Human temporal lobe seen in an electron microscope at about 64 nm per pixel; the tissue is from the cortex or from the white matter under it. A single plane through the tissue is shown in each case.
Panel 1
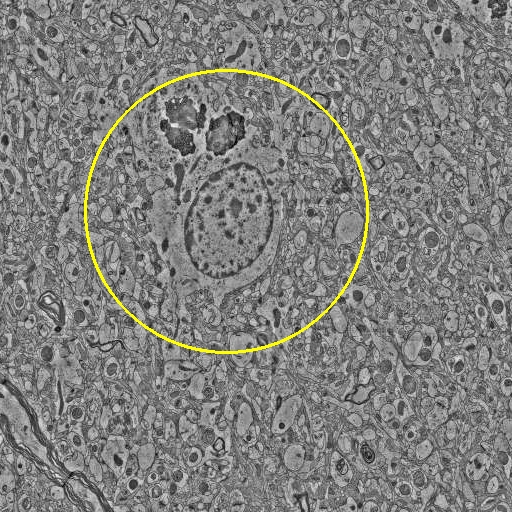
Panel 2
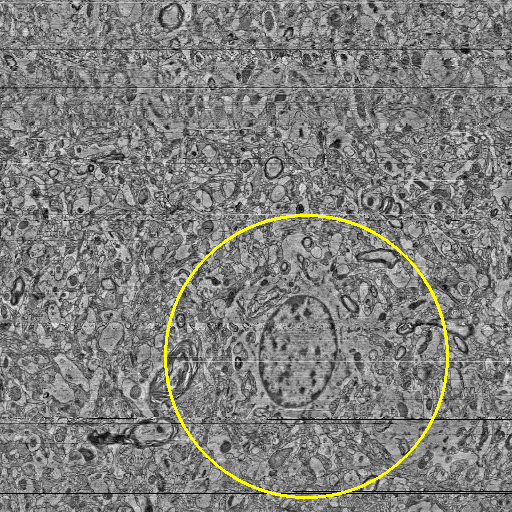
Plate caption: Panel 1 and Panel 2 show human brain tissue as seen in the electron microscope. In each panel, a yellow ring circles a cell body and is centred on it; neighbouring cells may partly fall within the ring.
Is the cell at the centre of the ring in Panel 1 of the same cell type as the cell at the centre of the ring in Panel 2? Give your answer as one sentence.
Yes, the two cells are of the same type.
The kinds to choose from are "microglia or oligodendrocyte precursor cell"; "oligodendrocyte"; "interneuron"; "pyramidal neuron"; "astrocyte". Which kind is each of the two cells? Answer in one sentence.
The second cell is an astrocyte, just as the first is.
